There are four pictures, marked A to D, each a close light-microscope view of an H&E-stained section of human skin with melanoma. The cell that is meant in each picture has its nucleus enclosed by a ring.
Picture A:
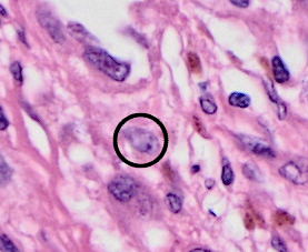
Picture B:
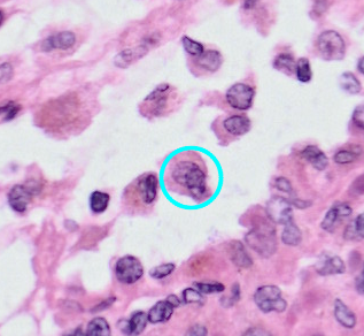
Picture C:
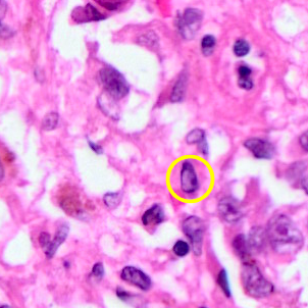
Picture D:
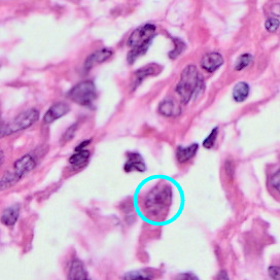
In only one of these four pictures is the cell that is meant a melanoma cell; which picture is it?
D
